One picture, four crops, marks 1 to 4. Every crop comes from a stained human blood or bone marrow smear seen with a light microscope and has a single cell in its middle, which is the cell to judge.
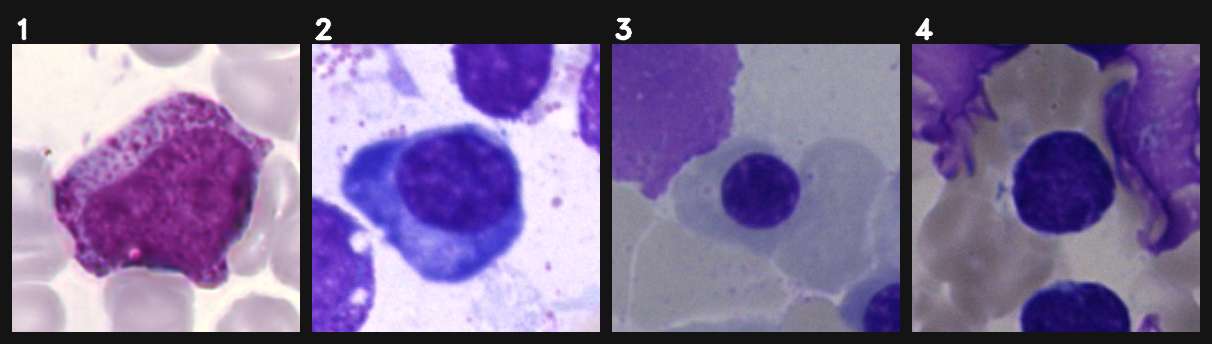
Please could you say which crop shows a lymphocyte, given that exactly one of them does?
4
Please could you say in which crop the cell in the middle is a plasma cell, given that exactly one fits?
2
